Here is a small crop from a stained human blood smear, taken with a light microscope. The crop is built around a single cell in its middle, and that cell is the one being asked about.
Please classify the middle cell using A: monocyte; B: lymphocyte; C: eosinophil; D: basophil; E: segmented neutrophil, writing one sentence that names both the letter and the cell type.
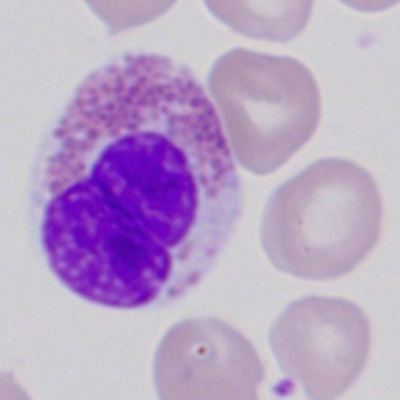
The middle cell of the crop is an eosinophil; accordingly, option C is correct.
